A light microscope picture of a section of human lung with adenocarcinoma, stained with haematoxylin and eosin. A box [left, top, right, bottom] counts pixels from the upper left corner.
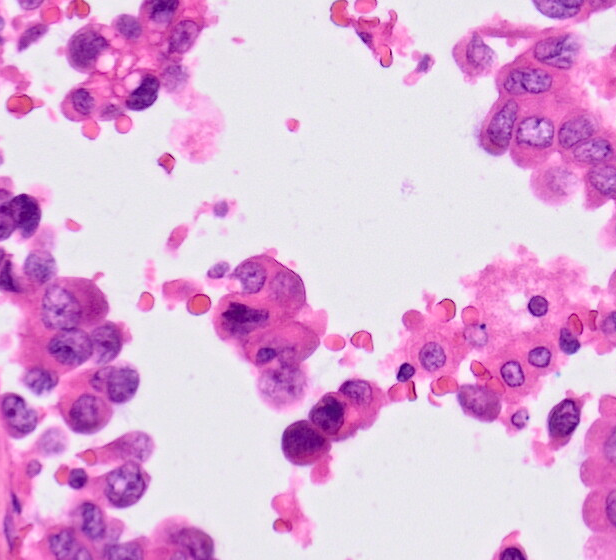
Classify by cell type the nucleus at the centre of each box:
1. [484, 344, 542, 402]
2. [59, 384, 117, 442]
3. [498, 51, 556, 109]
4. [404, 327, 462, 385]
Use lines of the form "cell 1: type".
cell 1: macrophage or monocyte
cell 2: carcinoma cell
cell 3: carcinoma cell
cell 4: macrophage or monocyte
